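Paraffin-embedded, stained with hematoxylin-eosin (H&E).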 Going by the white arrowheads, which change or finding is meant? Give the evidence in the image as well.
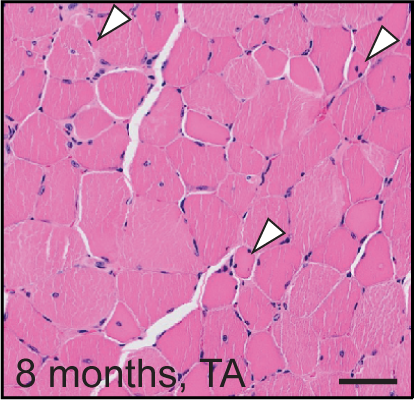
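The arrowheads point at fiber profiles smaller than the surrounding fibers. Surrounding fibers are large, pink, polygonal cross-sections.
Conclusion: small atrophic fibers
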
